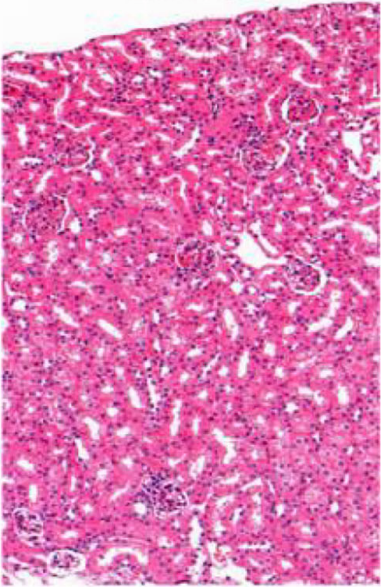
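This low-power hematoxylin and eosin view shows kidney cortex with several glomeruli among densely packed tubules. The glomeruli are round, purple-nucleated capillary tufts with a narrow clear space around them. The tubules have pink cytoplasm and rows of small dark nuclei, and their lumens appear as small white slits and rounded openings scattered evenly over the field. The overall arrangement of tubules and glomeruli looks orderly, without obvious large areas of disruption. The capsular surface runs along the top of the section.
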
